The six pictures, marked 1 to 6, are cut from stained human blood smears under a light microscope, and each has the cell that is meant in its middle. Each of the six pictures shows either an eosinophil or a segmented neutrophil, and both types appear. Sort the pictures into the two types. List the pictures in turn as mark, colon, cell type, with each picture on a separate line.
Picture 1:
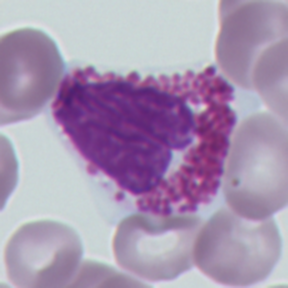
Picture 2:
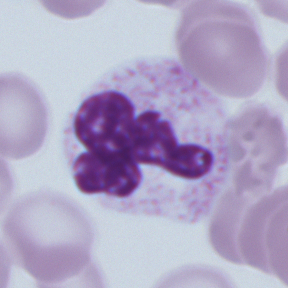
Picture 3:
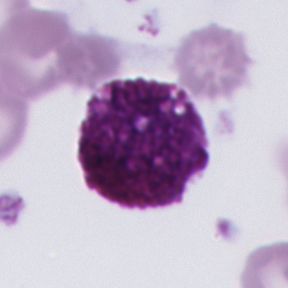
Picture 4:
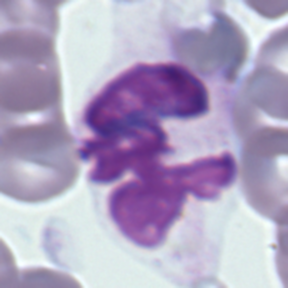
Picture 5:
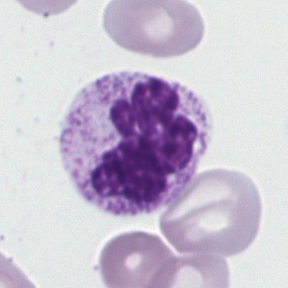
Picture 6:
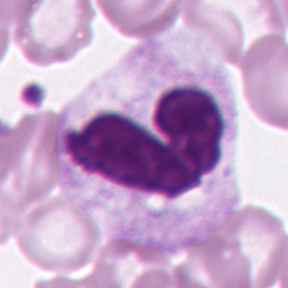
1: eosinophil
2: segmented neutrophil
3: eosinophil
4: segmented neutrophil
5: segmented neutrophil
6: segmented neutrophil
